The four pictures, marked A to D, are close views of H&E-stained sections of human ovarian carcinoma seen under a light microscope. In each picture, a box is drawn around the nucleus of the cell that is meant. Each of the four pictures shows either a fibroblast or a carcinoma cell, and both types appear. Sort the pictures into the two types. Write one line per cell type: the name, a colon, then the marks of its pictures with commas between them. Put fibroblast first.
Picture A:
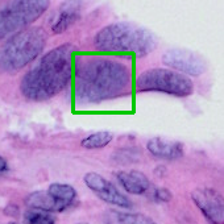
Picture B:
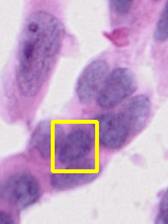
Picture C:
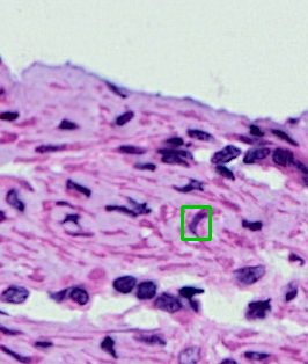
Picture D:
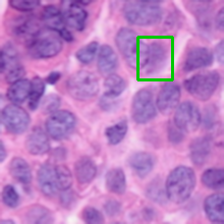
fibroblast: C
carcinoma cell: A, B, D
